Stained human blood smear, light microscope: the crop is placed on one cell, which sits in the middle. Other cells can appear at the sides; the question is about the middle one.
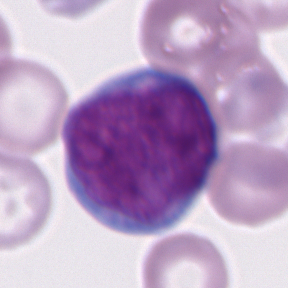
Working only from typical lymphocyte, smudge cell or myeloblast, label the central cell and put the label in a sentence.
The cell featured at the centre of this crop is a myeloblast.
